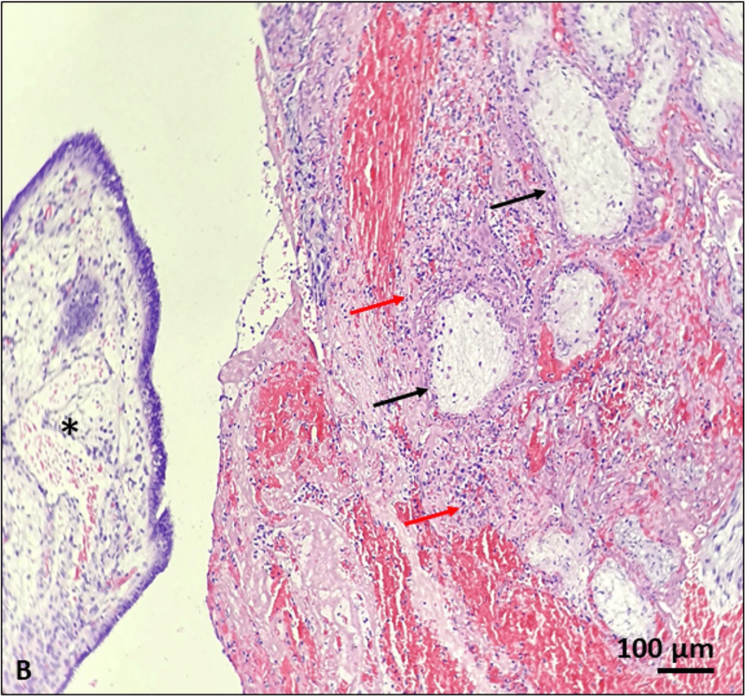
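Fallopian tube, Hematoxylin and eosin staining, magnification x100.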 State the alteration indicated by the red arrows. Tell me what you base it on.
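Bright red areas of packed erythrocytes. Pink fibrillar material with scattered purple nuclei and fragments. On this evidence: blood cells, fibrin and cell debris.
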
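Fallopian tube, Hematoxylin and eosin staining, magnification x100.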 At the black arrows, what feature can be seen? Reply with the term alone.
Chorionic villi.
